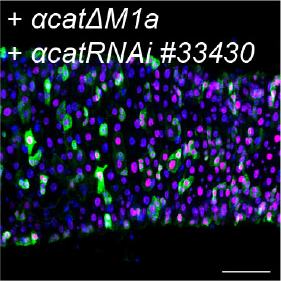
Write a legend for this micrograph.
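Gut epithelium in surface view, with a dense layer of nuclei. Many nuclei are magenta, a large share of them round and sizeable, lying without green cytoplasm around them, while fewer blue-only nuclei remain between them. Green cells are scattered across the field; some are small and spindle-shaped, others larger with broad cytoplasm, and their nuclei are magenta.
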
